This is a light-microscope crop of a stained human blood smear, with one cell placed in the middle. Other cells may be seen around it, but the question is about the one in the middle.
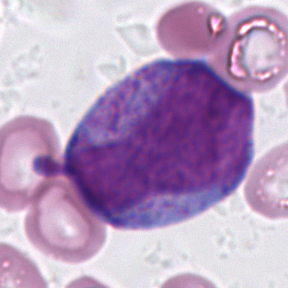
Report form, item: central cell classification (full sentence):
The cell occupying the middle of the crop is a promyelocyte.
